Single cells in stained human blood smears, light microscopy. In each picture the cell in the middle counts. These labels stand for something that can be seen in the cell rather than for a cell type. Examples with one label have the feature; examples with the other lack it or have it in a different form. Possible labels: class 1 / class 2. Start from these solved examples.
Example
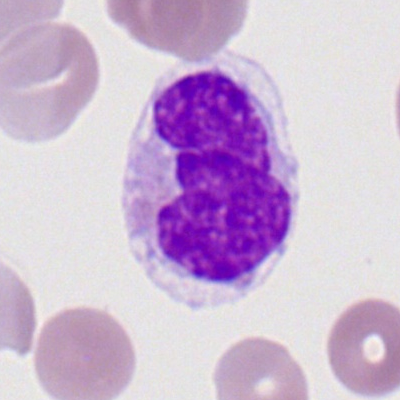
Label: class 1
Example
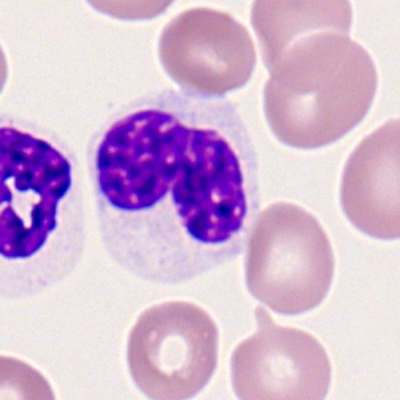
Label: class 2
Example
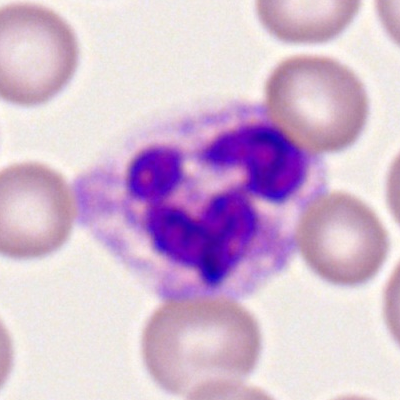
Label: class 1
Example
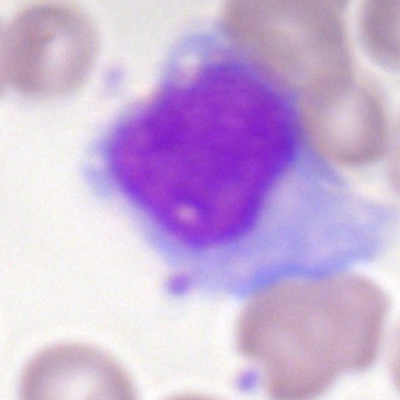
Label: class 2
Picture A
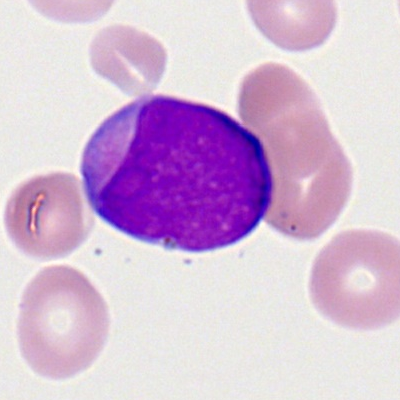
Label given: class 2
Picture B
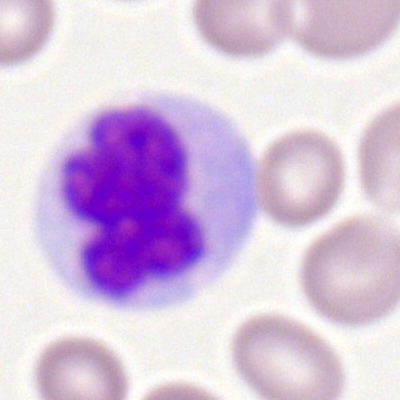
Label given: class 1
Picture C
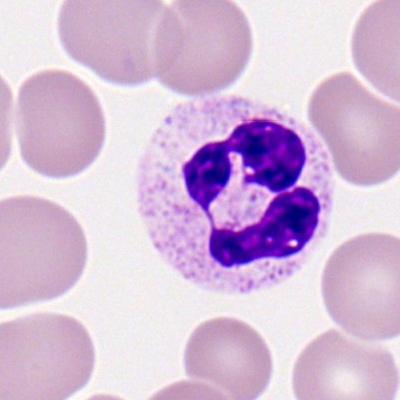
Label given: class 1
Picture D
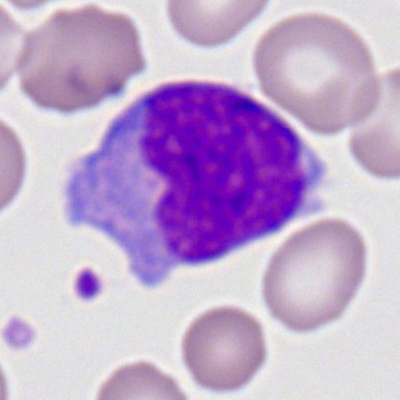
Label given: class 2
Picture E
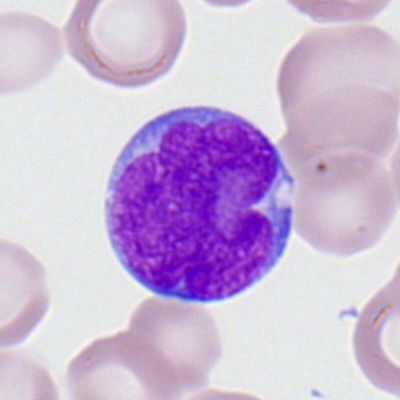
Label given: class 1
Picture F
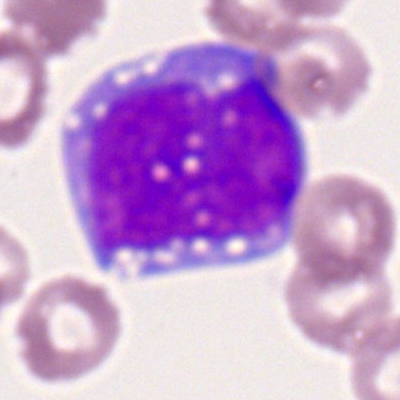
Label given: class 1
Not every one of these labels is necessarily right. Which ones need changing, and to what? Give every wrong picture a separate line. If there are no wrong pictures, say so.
F: not class 1 but class 2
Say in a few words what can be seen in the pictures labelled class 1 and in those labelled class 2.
Seen in class 1: lobed nucleus; seen in class 2: single compact nucleus.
